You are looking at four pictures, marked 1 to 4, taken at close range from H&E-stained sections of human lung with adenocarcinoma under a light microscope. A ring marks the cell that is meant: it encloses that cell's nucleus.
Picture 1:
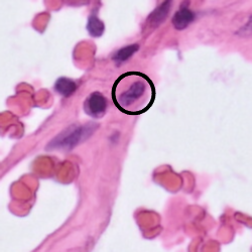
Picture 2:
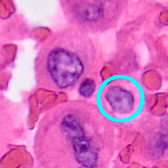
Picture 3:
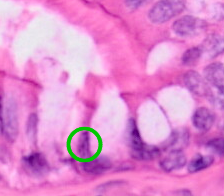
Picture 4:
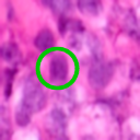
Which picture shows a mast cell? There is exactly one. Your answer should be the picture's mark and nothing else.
1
